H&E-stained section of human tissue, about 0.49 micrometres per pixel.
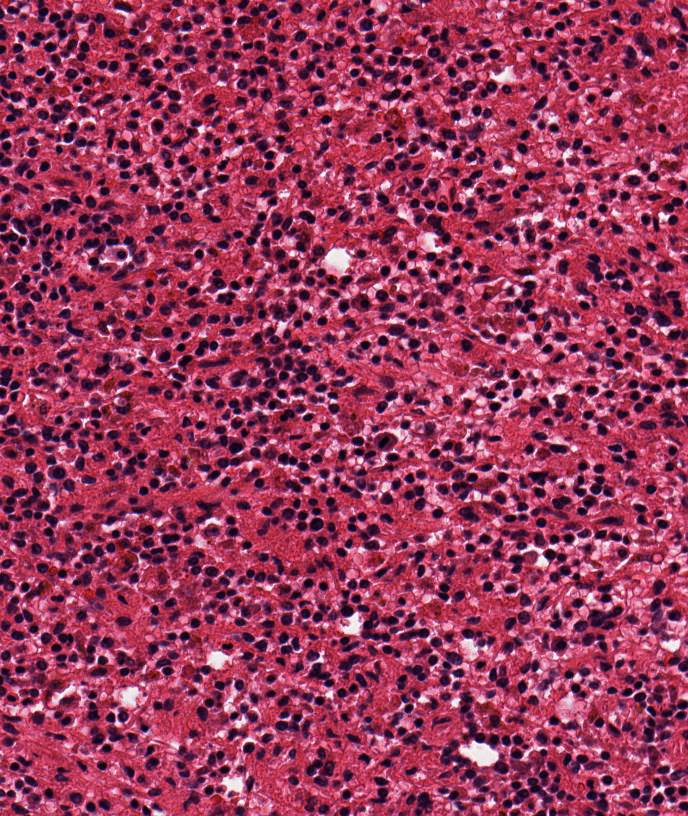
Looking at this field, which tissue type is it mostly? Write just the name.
red pulp of the spleen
